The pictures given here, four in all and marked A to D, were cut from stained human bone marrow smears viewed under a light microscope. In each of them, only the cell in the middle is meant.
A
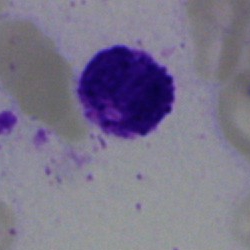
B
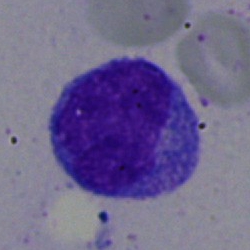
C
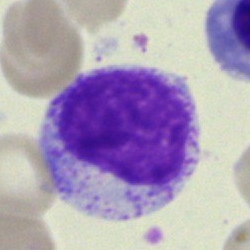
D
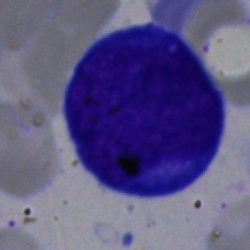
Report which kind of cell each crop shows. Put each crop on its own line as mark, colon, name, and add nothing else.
A: basophil
B: promyelocyte
C: myelocyte
D: proerythroblast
